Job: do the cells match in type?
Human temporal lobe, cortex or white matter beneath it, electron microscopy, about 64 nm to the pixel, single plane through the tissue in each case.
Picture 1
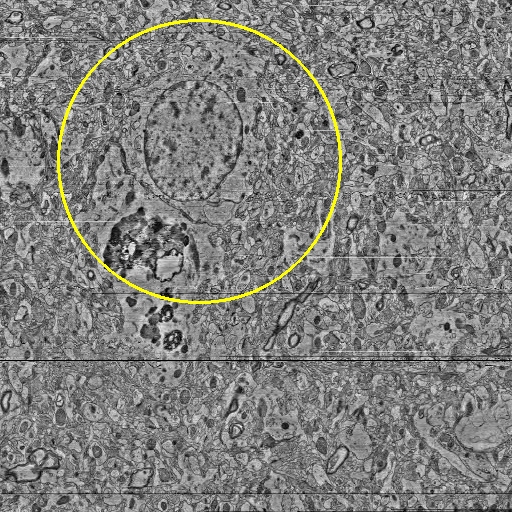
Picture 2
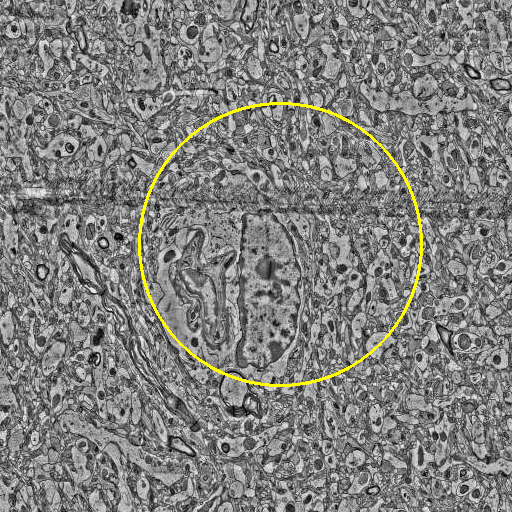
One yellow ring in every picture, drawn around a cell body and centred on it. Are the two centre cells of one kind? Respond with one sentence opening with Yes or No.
No, the ringed cells in the two pictures are of two separate kinds.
